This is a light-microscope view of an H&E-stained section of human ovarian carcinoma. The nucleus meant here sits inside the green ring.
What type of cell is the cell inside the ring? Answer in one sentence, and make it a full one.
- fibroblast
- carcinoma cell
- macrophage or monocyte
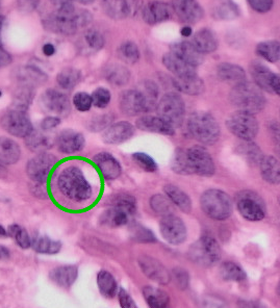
In cellular terms, the cell inside the ring is a carcinoma cell.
